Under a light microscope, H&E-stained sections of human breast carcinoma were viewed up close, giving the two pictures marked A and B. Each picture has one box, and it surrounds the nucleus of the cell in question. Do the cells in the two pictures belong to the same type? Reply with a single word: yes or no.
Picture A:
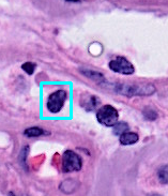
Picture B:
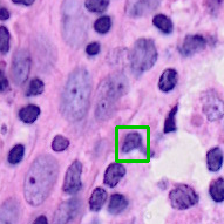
yes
